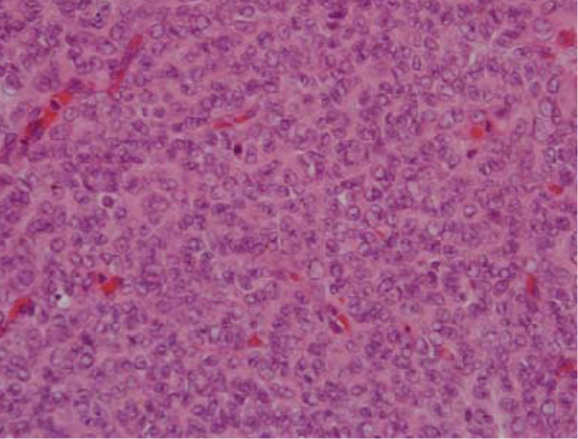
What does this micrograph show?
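High-power view of a tumor composed of densely packed small round to oval cells. Cell borders are indistinct. Thin capillaries with red blood cells run between the cells.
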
